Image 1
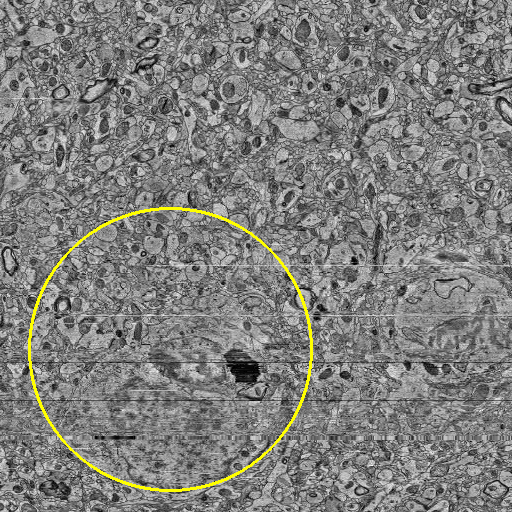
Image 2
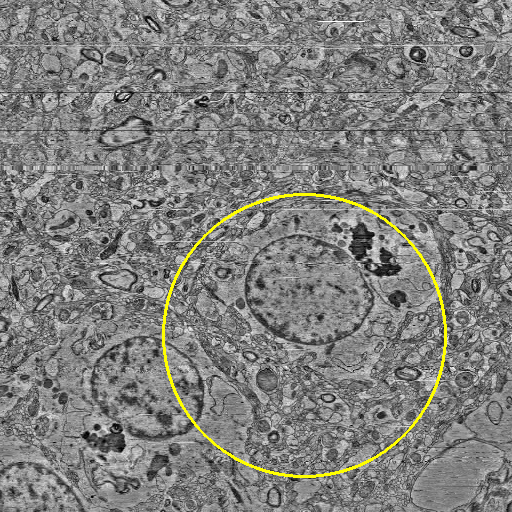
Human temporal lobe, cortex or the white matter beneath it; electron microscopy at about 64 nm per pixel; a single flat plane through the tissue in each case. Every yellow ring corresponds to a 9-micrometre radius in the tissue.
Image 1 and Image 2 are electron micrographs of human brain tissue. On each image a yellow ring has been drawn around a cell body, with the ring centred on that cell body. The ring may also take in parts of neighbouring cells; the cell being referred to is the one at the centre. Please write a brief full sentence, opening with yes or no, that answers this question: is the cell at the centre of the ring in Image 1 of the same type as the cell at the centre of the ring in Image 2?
No, the two cells are of two types.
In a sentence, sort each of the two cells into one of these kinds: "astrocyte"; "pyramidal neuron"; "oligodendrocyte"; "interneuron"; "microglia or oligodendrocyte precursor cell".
The first of the two cells is an oligodendrocyte, and the second is an astrocyte.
